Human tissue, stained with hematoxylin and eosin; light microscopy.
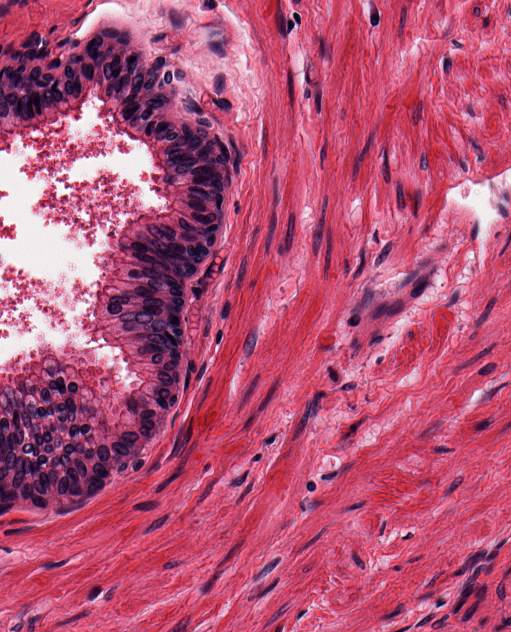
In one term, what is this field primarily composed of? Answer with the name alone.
fibromuscular stroma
